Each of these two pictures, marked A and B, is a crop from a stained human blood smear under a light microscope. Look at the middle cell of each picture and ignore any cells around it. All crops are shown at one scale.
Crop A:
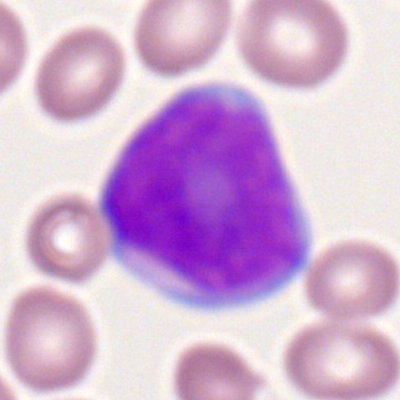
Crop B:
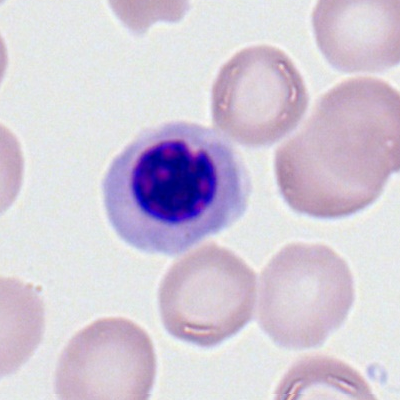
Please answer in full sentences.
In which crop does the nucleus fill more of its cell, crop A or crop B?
It is the cell in crop A that is filled more by its nucleus.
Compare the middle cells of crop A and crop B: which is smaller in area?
Smaller is the cell in crop B, and the other is about 2.5 times as large in area.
